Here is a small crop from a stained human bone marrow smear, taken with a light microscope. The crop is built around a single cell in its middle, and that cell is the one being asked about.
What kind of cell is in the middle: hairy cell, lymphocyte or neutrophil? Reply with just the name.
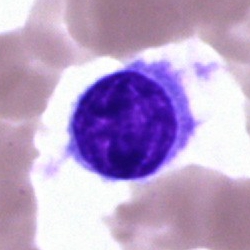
hairy cell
